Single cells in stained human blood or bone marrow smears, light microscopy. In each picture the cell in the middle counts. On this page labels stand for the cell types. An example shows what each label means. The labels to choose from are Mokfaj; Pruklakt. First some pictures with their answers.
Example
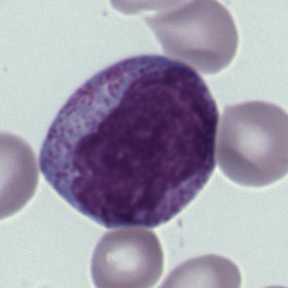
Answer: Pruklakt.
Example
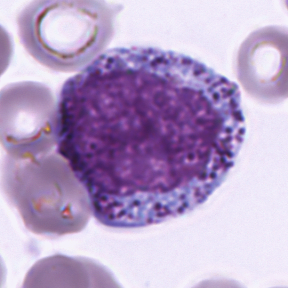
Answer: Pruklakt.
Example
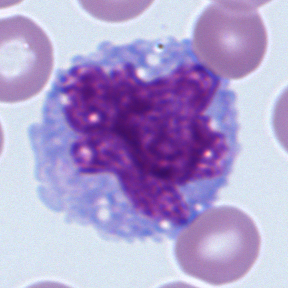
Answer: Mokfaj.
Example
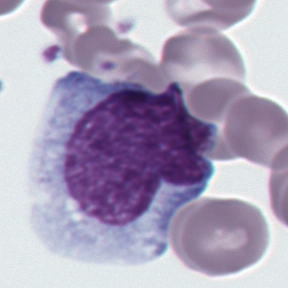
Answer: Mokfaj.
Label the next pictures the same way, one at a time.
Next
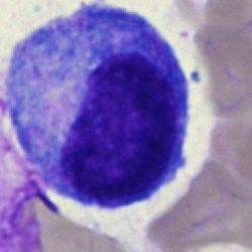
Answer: Pruklakt.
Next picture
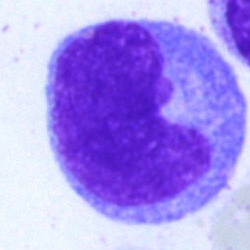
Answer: Mokfaj.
